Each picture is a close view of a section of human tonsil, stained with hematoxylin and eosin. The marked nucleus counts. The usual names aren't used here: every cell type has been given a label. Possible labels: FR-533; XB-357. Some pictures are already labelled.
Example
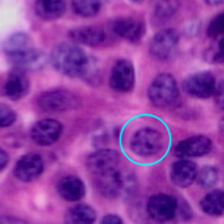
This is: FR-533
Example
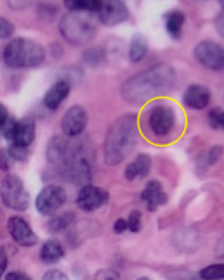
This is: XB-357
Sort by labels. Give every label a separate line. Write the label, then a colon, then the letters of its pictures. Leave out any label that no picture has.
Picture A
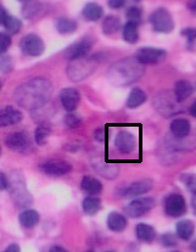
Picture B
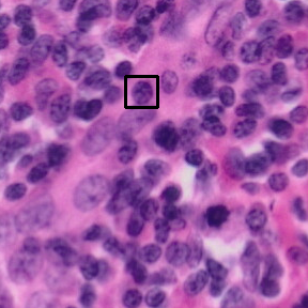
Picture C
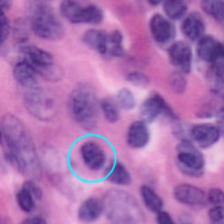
XB-357: A, B, C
